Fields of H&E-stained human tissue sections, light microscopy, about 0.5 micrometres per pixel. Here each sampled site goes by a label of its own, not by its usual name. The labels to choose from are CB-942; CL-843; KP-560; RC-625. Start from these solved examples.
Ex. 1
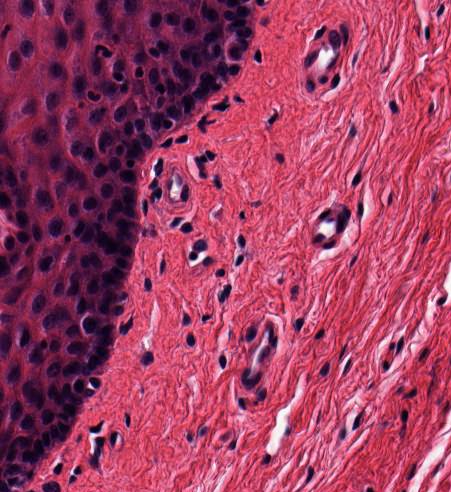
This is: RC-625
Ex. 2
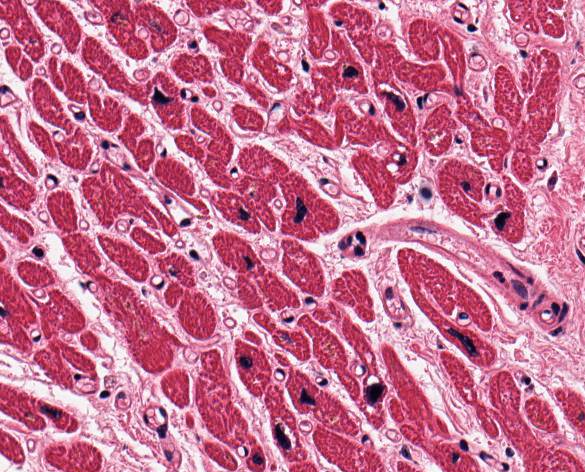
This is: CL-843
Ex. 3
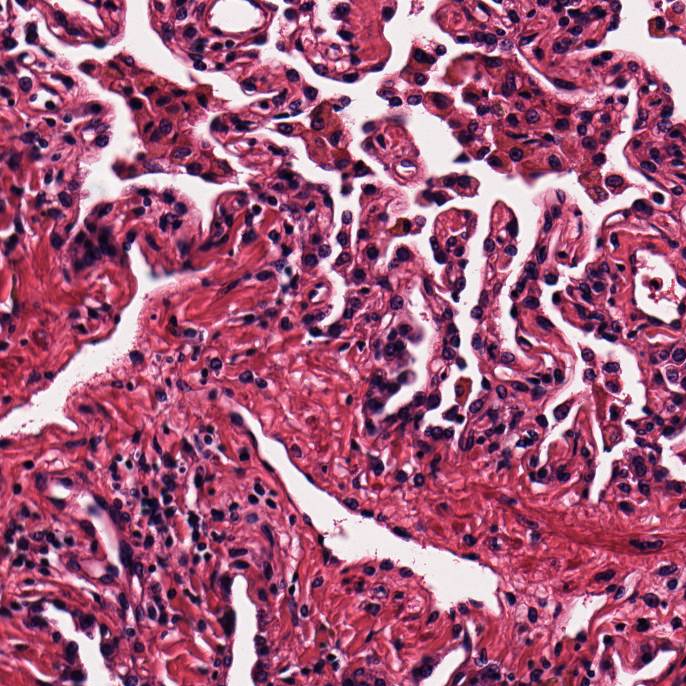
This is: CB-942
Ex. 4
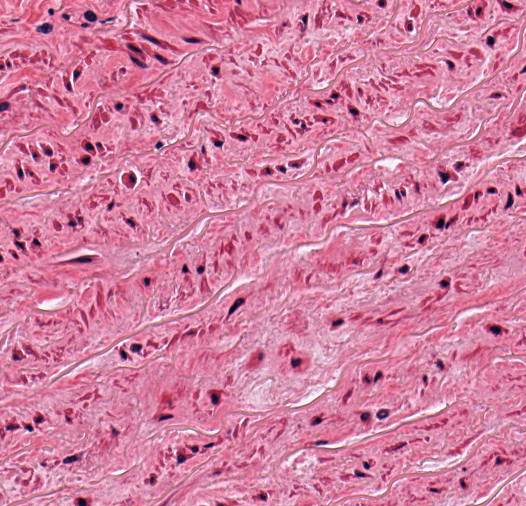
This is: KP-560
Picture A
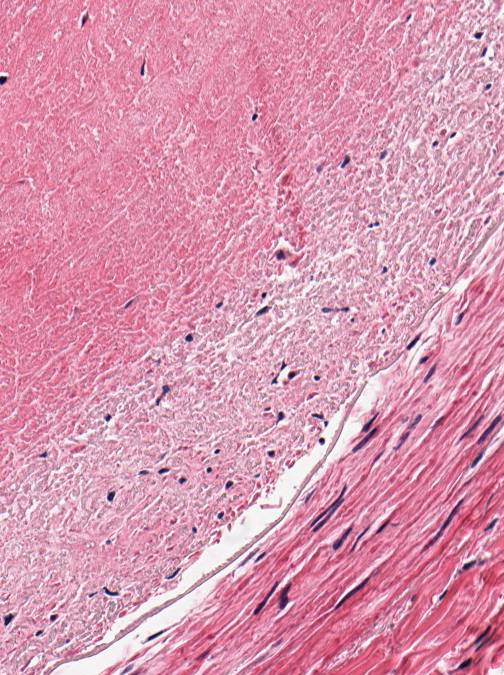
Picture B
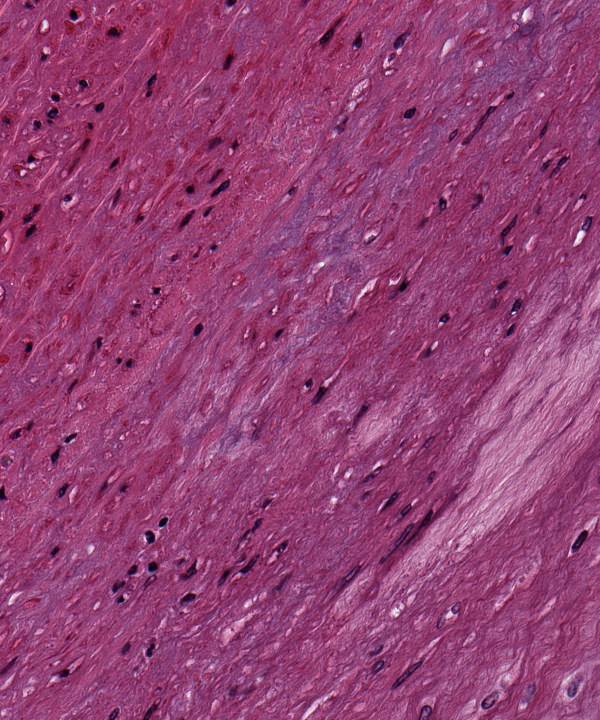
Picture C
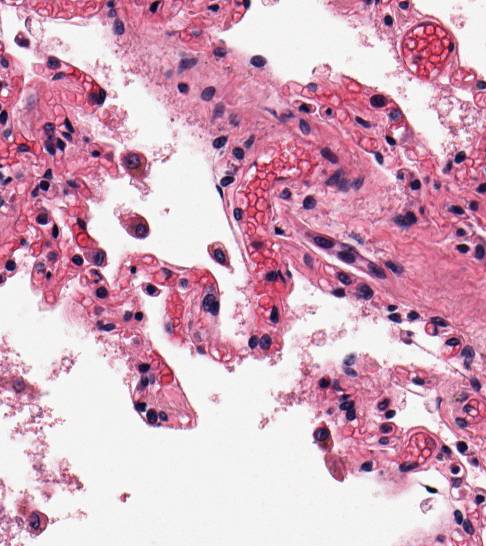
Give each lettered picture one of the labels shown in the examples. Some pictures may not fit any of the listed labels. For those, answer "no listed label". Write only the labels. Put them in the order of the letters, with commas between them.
no listed label, KP-560, CB-942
